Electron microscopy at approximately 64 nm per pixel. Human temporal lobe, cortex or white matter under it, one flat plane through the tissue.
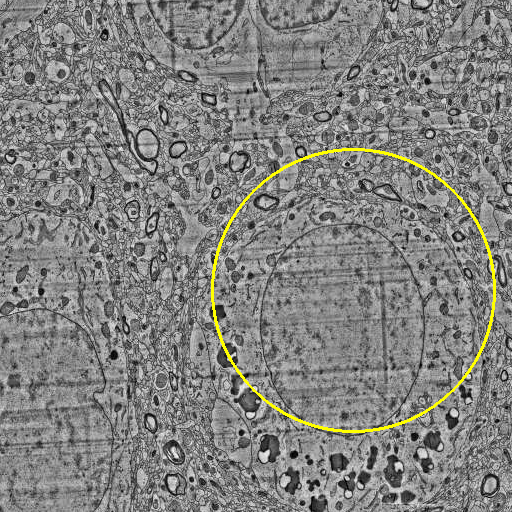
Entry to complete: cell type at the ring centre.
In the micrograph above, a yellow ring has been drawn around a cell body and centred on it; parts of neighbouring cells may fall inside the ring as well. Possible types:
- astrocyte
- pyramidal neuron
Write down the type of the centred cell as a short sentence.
The ring is centred on a pyramidal neuron.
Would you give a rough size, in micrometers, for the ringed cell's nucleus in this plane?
In this plane the nucleus measures roughly 14 by 11 micrometres.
